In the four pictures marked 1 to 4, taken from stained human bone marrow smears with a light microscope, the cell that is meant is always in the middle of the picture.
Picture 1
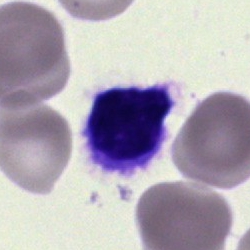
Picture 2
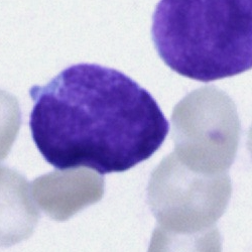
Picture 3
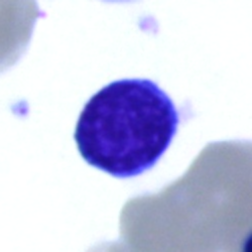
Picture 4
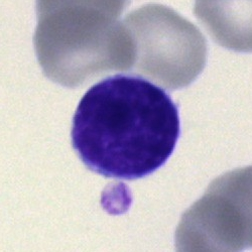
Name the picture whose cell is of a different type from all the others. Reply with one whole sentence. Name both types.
All pictures except 2 show lymphocytes; picture 2 shows a blast.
